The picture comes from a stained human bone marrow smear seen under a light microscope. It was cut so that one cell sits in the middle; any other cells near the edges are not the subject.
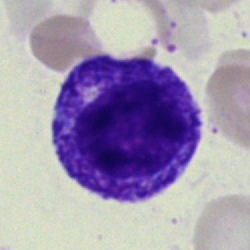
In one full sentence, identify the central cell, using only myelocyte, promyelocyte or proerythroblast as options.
Answering briefly, the cell in the middle is a myelocyte.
